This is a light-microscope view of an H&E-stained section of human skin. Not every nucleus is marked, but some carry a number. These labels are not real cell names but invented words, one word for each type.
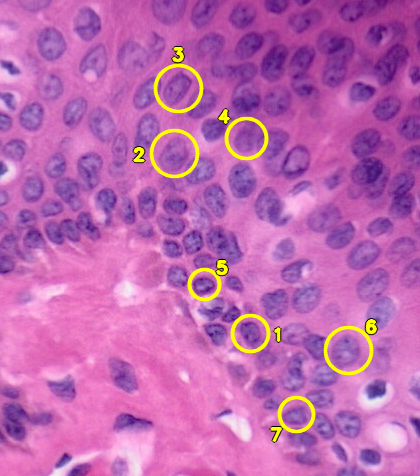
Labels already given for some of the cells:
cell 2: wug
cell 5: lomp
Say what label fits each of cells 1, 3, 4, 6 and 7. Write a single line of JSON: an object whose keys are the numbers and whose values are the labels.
{"1": "lomp", "3": "wug", "4": "lomp", "6": "wug", "7": "lomp"}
